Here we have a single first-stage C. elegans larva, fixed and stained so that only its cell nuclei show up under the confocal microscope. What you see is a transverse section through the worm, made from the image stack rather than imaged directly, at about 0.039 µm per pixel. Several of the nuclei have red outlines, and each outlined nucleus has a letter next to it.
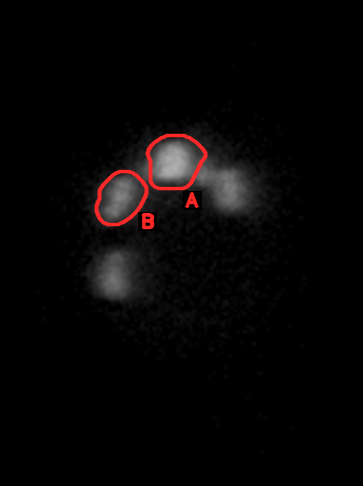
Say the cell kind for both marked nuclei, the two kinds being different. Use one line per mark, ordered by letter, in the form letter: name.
A: neuron
B: P cell (ventral epidermal blast cell)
